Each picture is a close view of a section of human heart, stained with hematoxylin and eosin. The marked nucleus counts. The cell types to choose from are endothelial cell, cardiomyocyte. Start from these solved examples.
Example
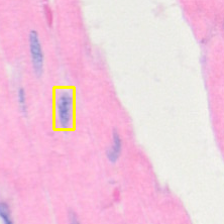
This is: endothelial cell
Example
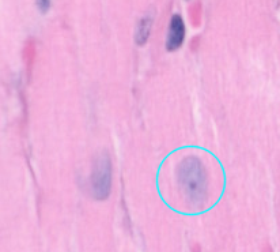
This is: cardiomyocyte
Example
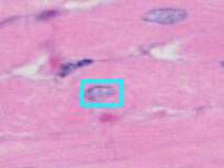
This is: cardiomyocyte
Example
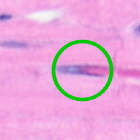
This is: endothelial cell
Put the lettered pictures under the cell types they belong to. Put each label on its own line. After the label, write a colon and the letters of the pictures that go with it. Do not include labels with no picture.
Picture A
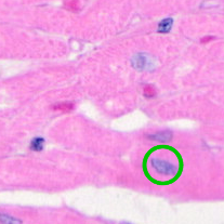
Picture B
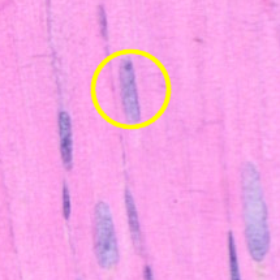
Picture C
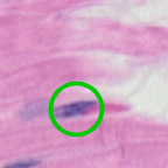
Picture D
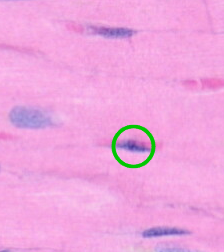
endothelial cell: C, D
cardiomyocyte: A, B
